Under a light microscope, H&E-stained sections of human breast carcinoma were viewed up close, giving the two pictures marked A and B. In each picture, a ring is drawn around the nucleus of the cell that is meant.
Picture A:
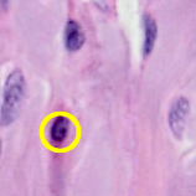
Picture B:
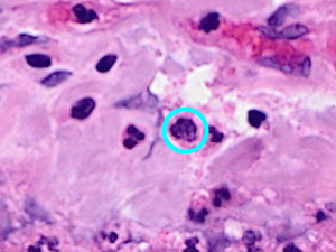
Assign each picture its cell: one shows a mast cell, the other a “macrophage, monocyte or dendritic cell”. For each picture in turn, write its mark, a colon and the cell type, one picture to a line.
A: mast cell
B: macrophage, monocyte or dendritic cell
